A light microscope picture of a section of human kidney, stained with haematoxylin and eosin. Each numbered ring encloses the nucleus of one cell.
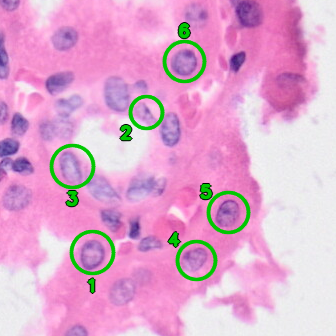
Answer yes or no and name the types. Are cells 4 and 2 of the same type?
No, unlike cell 2, which is a collecting duct cell, cell 4 is a proximal tubule cell.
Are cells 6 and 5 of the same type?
Yes, in this section cells 6 and 5 are both proximal tubule cells.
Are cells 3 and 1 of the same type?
No, as to type, cell 3 is a collecting duct cell, and cell 1 is a proximal tubule cell.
